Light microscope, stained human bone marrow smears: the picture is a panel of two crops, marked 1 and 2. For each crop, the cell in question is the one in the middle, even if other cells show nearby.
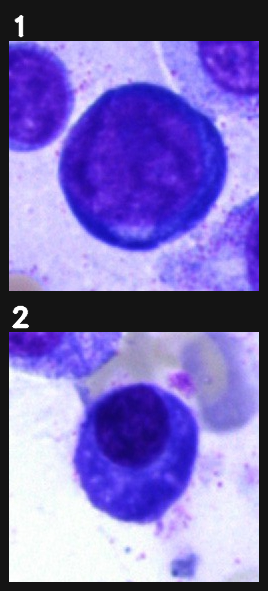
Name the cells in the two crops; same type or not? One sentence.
No, the cell of interest in crop 1 is a proerythroblast, and in crop 2 it is a plasma cell.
